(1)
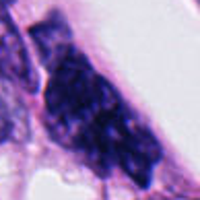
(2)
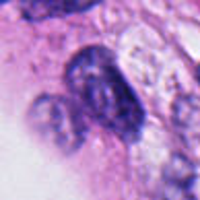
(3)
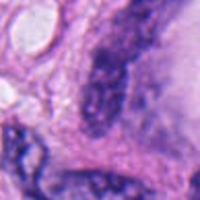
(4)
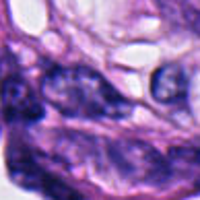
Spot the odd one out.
Picture 1 (a syncytial knot among cytotrophoblasts).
